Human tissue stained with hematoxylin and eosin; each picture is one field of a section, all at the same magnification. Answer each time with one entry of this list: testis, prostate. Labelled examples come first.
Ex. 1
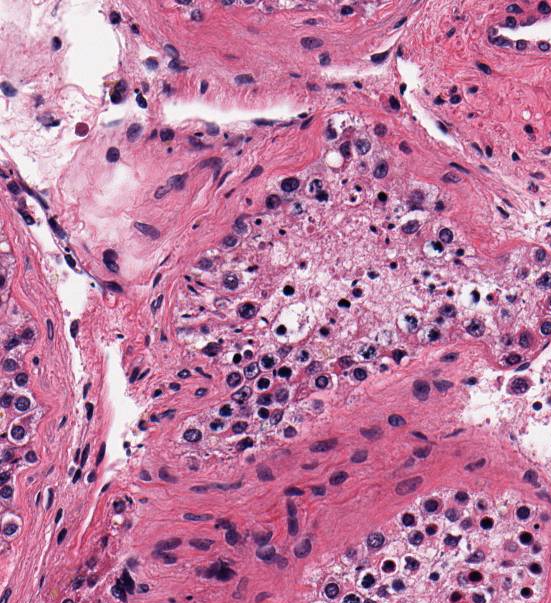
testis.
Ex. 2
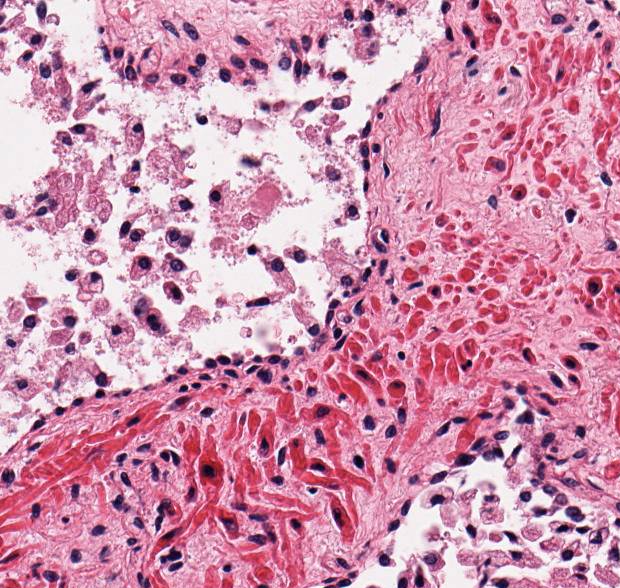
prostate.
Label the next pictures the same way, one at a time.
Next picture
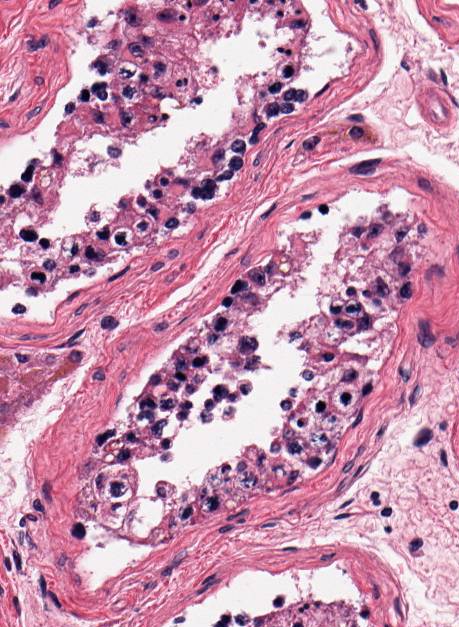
testis.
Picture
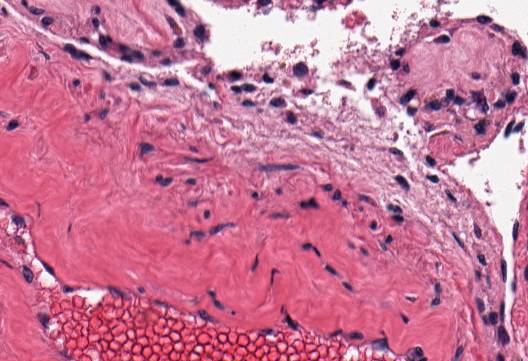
testis.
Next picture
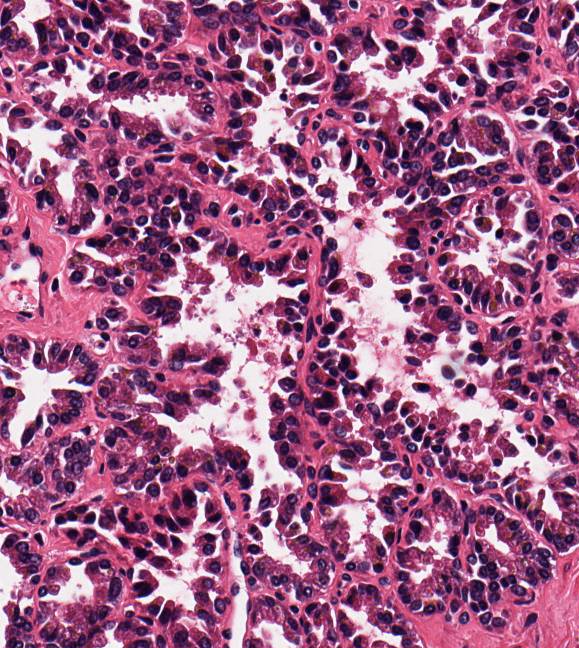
prostate.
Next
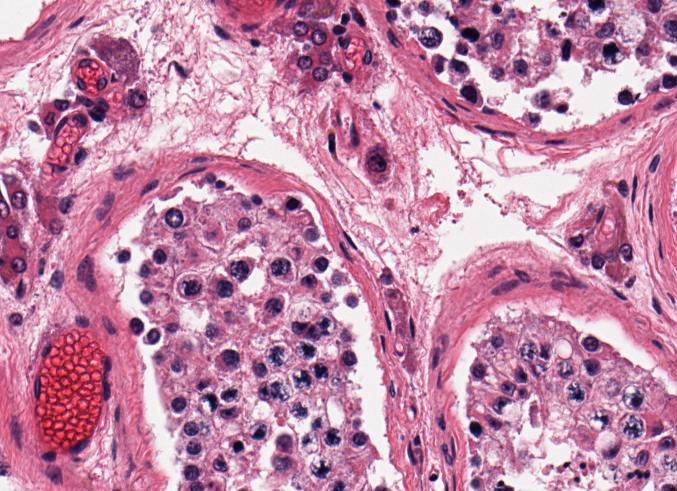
testis.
